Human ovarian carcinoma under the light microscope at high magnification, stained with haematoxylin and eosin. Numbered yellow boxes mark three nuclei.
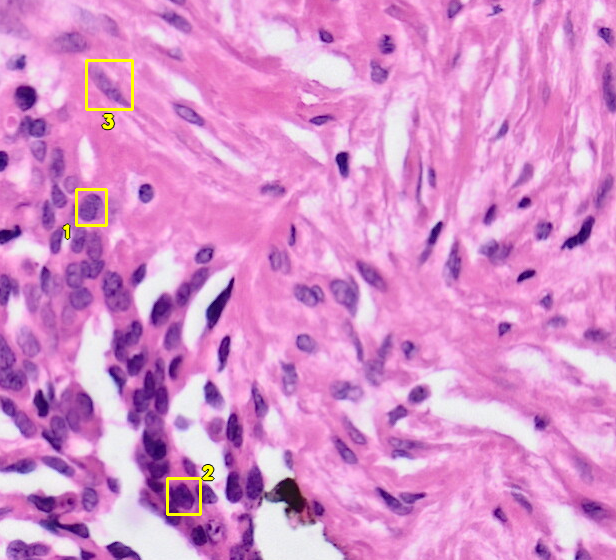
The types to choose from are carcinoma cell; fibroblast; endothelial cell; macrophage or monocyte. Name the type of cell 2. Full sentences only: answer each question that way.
The cell pointed out as number 2 is a carcinoma cell.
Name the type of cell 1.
Belonging to a carcinoma cell is the nucleus that carries the number 1.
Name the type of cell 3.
The numbered cell 3 is identified here as a fibroblast.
